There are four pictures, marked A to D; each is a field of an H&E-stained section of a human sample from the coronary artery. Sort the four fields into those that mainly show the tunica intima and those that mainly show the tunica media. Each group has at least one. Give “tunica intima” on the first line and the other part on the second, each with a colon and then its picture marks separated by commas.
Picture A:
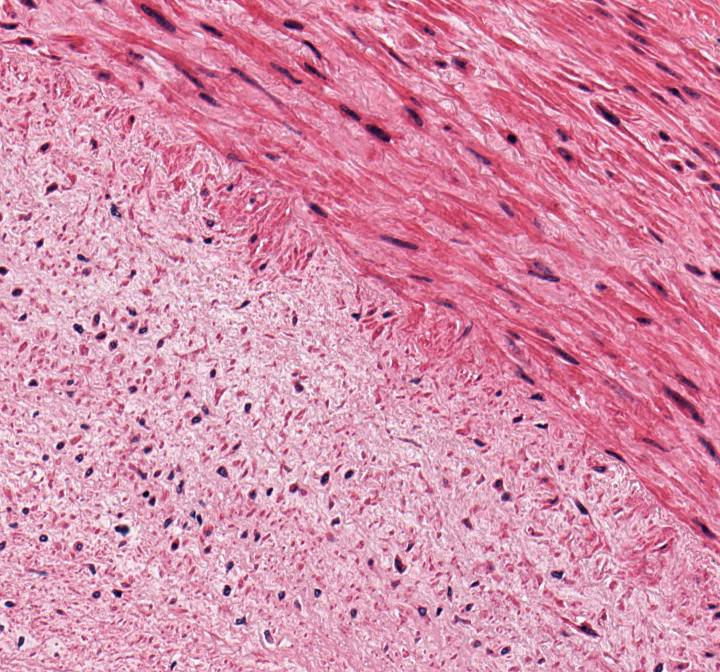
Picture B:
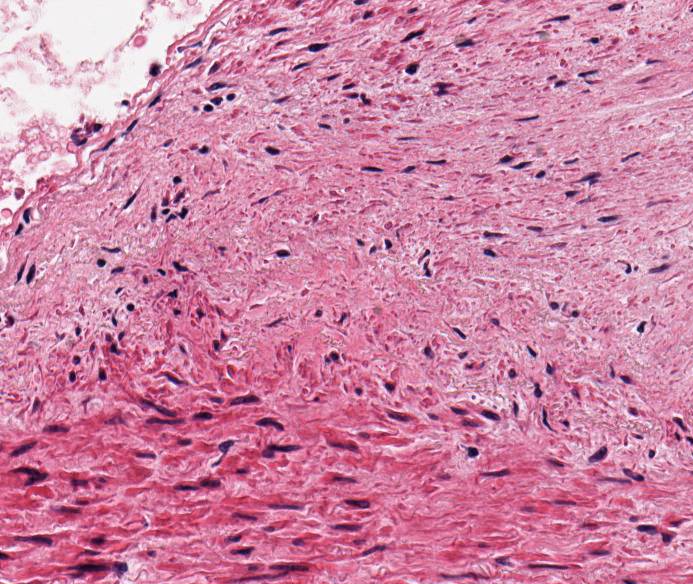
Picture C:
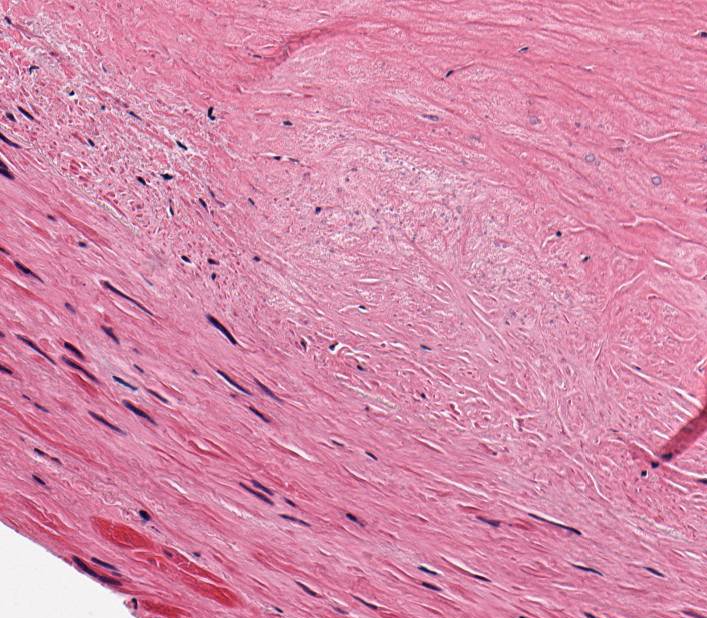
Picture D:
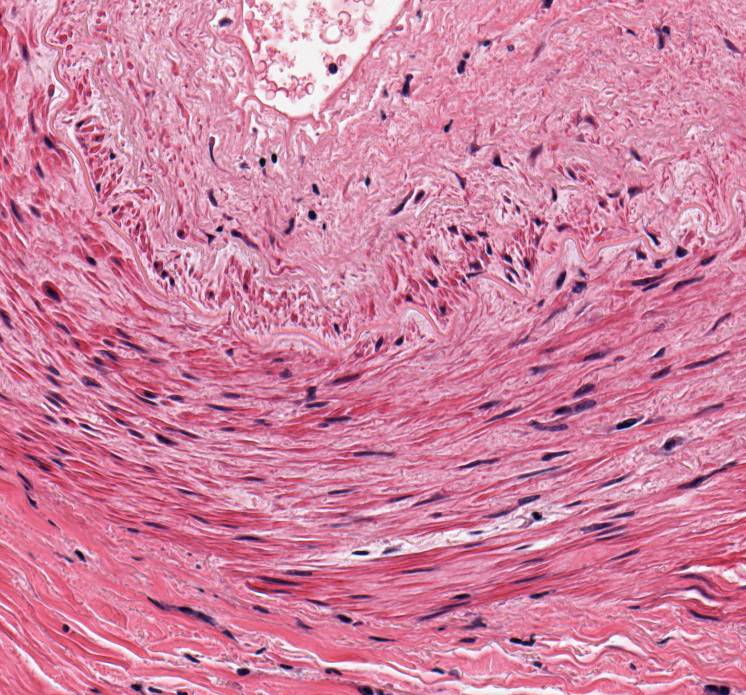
tunica intima: A, B, C
tunica media: D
